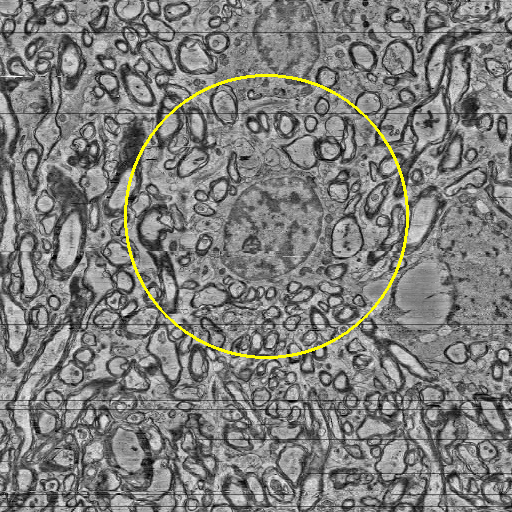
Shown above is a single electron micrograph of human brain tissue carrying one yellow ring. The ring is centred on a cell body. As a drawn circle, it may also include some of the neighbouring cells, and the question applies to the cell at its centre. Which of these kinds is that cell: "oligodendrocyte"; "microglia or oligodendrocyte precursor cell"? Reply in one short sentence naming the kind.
The cell marked by the ring is an oligodendrocyte.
